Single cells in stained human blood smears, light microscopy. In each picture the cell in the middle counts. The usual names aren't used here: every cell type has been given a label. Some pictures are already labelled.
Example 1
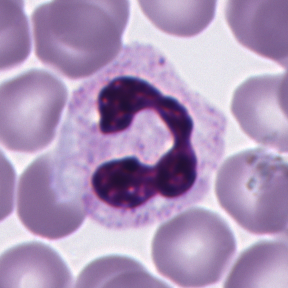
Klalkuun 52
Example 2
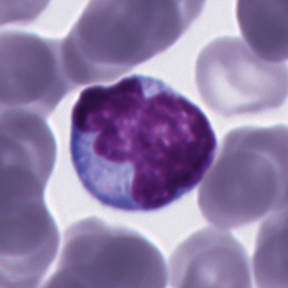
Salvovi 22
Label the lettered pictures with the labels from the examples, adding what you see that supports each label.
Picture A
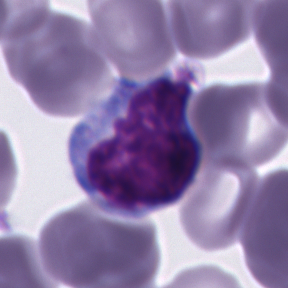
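Label: Salvovi 22. The nucleus fills most of the cell and lies toward the right side.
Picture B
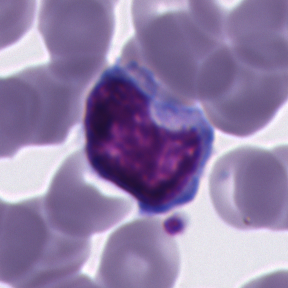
Label: Salvovi 22. The nucleus fills most of the cell.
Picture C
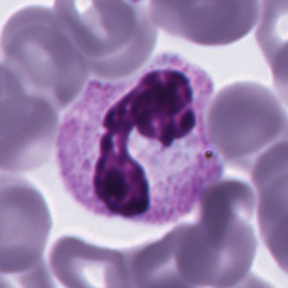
Label: Klalkuun 52. The cytoplasm is abundant and pale pink-lilac.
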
